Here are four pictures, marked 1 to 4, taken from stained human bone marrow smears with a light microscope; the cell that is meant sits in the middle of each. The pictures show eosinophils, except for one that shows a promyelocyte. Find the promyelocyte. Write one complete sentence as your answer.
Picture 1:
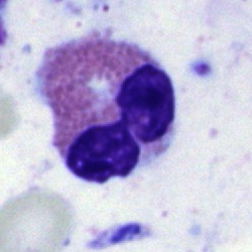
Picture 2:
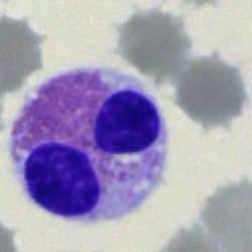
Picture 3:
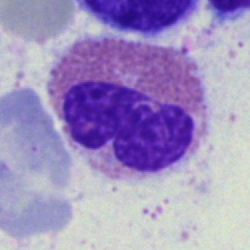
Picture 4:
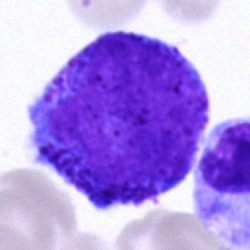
The picture with the promyelocyte is 4.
